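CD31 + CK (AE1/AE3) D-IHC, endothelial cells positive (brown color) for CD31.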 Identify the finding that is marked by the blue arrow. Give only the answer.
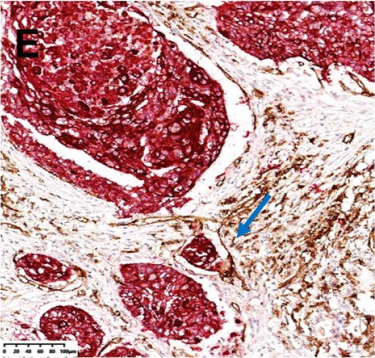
Vascular invasion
